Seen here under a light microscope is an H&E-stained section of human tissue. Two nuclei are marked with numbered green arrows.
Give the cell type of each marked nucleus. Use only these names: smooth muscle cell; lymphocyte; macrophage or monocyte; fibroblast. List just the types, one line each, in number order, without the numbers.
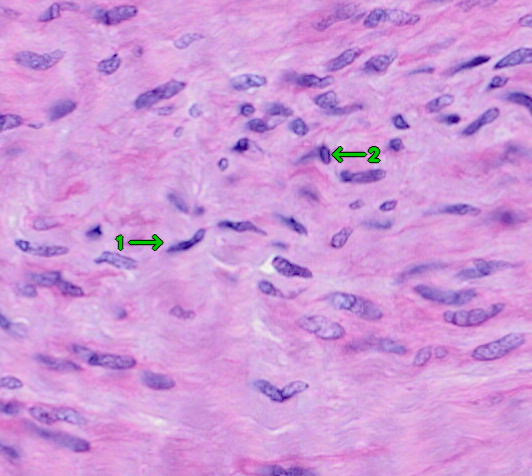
fibroblast
smooth muscle cell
